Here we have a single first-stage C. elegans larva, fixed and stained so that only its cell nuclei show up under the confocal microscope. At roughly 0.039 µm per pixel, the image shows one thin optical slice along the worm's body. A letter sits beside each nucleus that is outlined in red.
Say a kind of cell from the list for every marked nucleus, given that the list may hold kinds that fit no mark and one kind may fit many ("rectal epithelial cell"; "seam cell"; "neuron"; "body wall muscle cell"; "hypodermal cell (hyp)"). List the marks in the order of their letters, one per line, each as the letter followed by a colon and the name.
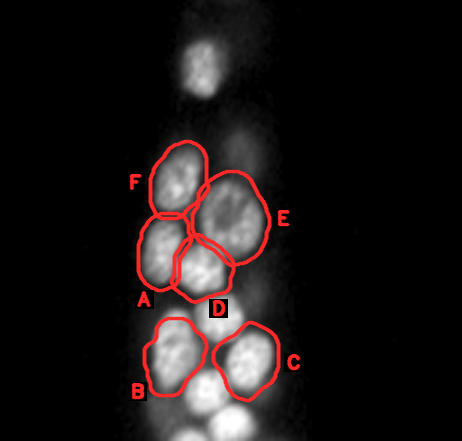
A: hypodermal cell (hyp)
B: body wall muscle cell
C: neuron
D: neuron
E: seam cell
F: hypodermal cell (hyp)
